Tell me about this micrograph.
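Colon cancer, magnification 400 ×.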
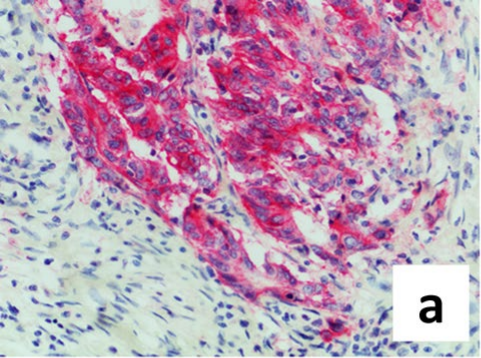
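The tumor cells are large and polygonal with large oval nuclei, and strong red stain outlines their membranes and fills much of their cytoplasm. The surrounding stroma holds spindle-shaped cells and small round nuclei that are unstained and show only blue nuclei.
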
